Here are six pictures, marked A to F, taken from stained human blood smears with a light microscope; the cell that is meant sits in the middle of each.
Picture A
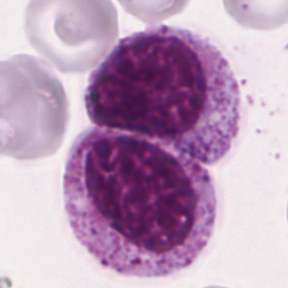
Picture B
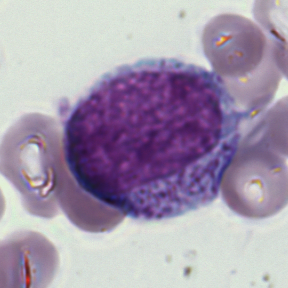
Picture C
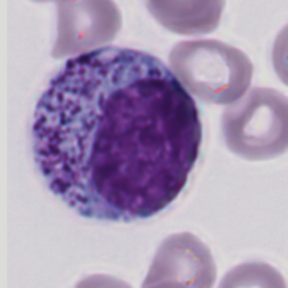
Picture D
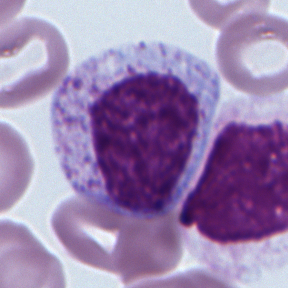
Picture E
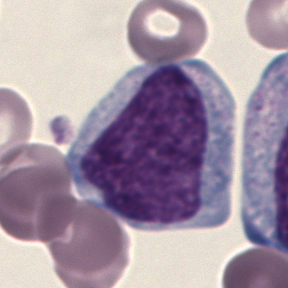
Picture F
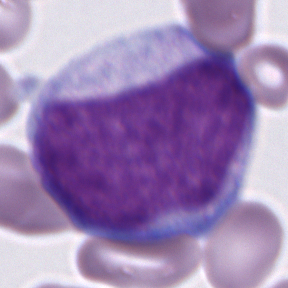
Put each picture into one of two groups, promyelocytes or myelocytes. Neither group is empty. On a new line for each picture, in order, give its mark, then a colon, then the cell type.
A: myelocyte
B: promyelocyte
C: promyelocyte
D: myelocyte
E: promyelocyte
F: promyelocyte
